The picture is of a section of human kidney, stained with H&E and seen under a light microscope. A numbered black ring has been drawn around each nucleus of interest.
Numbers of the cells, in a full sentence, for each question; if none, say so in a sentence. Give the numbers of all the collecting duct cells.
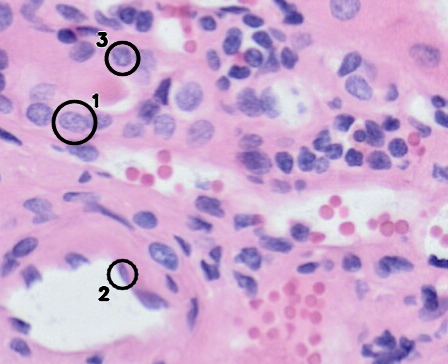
Within this tissue, the cells numbered 1 and 3 are collecting duct cells.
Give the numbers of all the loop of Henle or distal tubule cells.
The numbered cells do not include any loop of Henle or distal tubule cells.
